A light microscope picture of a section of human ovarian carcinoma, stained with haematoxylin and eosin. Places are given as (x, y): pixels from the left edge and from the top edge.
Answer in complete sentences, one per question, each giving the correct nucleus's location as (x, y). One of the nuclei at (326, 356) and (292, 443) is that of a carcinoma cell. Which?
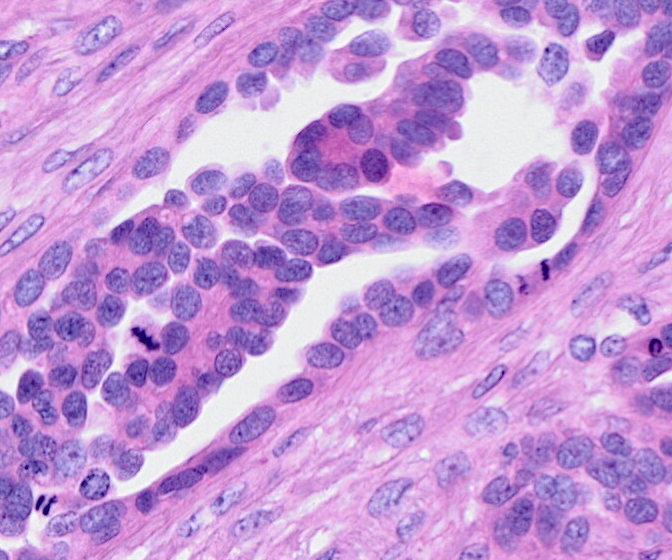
Of these two nuclei, it is the one at (326, 356) that belongs to a carcinoma cell.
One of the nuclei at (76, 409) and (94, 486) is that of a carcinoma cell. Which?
It is the nucleus at (76, 409) that forms part of a carcinoma cell.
